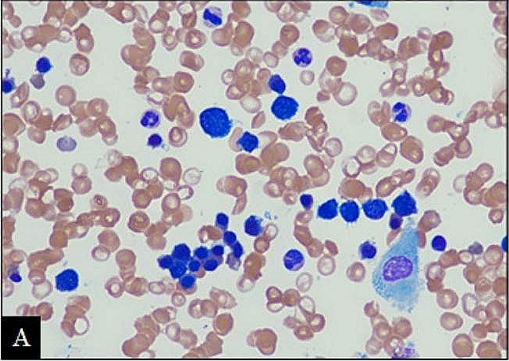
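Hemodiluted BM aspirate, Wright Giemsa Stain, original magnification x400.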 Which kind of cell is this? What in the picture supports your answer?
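Many nucleated cells with round, dense, centrally placed nuclei lie among the red cells. Several nucleated cells have deeply blue cytoplasm. The nucleated cells vary in size, from larger cells to small cells with compact dark nuclei. On this evidence: erythroid precursors.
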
